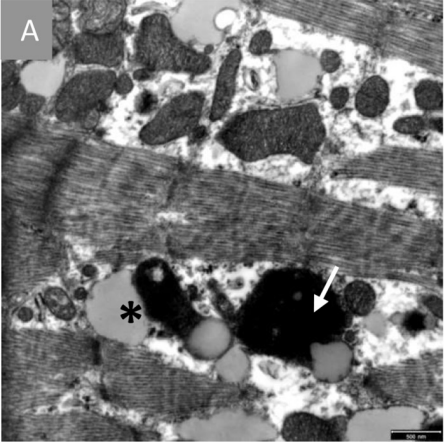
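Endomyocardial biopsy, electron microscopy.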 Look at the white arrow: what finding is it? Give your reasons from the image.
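An irregular, very electron-dense black mass lies between myofibrils. It is next to pale round droplets. On this evidence: degenerative products.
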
